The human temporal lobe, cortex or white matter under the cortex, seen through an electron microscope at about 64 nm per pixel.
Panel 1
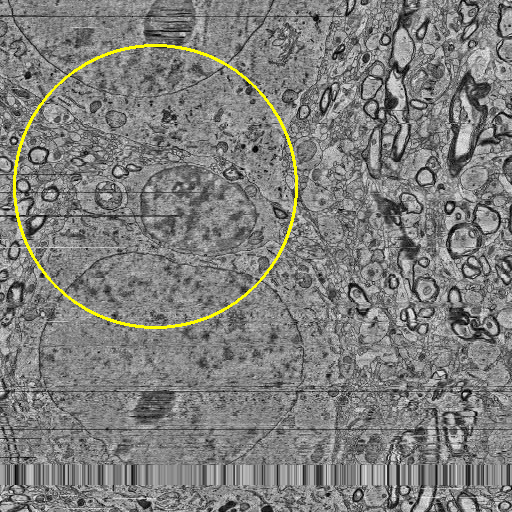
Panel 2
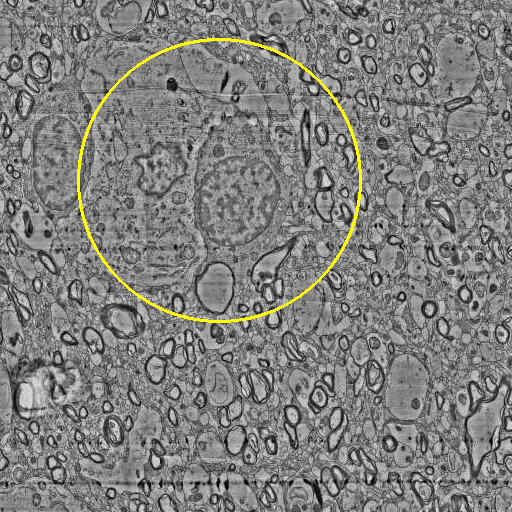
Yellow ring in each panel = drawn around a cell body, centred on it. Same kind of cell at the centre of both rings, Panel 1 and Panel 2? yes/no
yes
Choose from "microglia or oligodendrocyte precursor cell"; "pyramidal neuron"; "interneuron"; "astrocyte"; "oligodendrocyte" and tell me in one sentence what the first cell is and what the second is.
Each of the two rings is centred on an oligodendrocyte.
